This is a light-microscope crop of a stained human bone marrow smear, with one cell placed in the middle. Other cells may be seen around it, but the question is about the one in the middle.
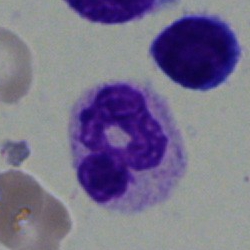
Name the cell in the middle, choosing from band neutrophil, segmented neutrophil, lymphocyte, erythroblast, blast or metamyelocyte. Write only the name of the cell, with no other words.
segmented neutrophil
